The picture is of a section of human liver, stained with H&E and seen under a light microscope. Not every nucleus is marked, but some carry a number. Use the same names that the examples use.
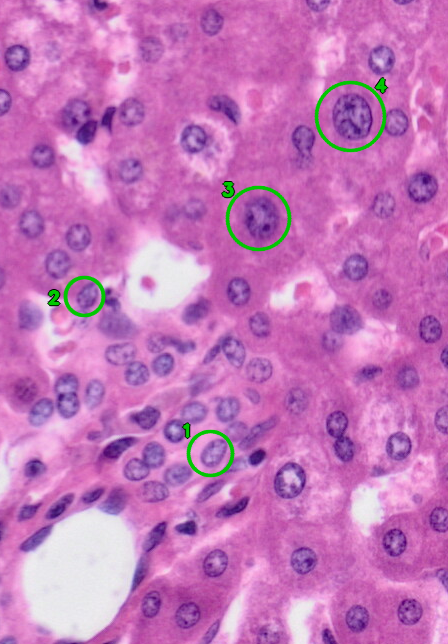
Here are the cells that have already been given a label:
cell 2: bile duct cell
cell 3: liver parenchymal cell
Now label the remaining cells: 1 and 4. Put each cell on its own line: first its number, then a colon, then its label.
1: bile duct cell
4: liver parenchymal cell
